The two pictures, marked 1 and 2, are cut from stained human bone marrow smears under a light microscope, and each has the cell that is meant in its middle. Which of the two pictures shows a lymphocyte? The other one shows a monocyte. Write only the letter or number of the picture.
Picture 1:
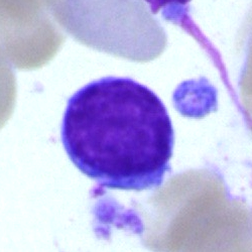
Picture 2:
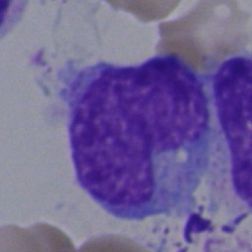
1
